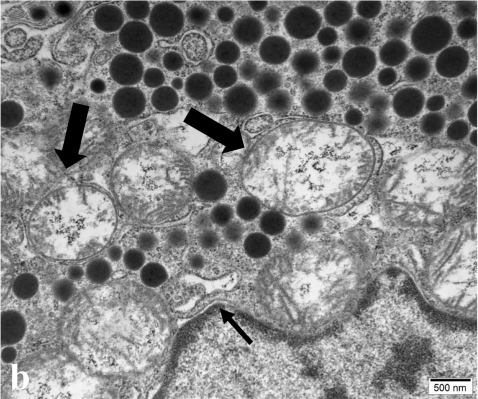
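Scattered among the granules are several large rounded mitochondria that are clearly swollen, with a pale, washed-out matrix and only sparse, broken cristae. These swollen mitochondria are far larger than the granules around them. Near the nuclear envelope, a rough endoplasmic reticulum cisterna appears widened into a clear space. The nucleus at the bottom has finely granular chromatin with a few darker clumps.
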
